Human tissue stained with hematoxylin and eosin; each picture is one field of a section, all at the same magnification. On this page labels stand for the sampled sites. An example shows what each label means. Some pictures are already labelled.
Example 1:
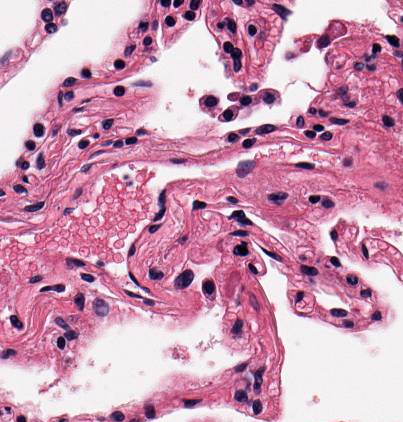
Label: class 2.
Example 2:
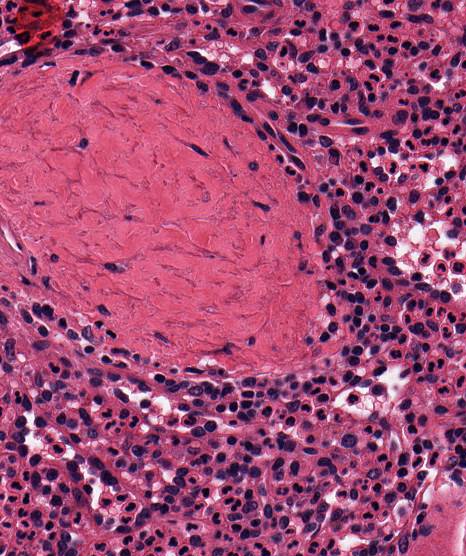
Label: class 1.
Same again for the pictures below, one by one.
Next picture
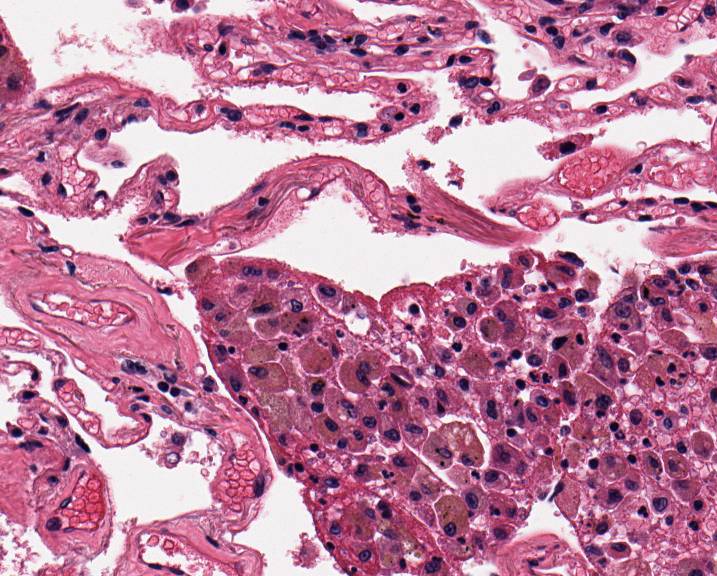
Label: class 2.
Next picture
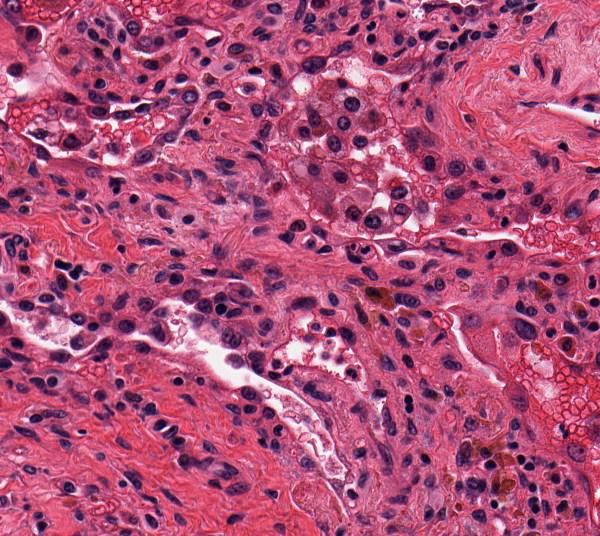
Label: class 2.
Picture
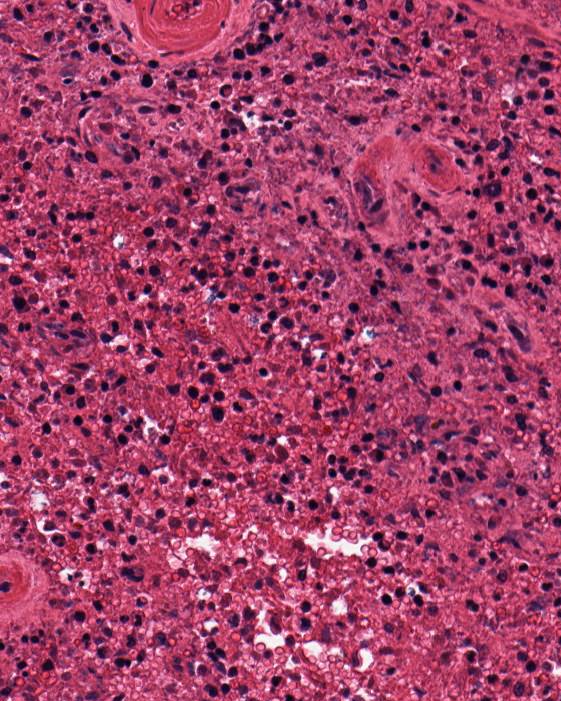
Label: class 1.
